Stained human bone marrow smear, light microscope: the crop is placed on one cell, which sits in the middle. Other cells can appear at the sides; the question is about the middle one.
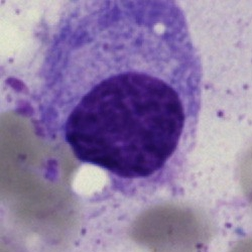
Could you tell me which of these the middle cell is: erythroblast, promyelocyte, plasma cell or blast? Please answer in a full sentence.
The cell in the exact centre of the crop is a plasma cell.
